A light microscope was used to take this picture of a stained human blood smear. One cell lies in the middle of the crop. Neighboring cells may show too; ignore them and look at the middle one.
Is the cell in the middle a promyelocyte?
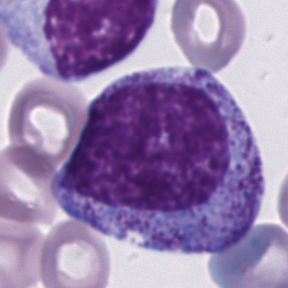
yes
